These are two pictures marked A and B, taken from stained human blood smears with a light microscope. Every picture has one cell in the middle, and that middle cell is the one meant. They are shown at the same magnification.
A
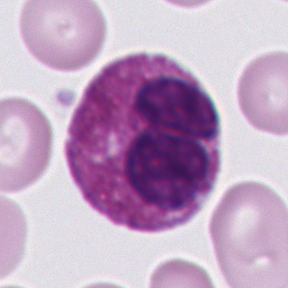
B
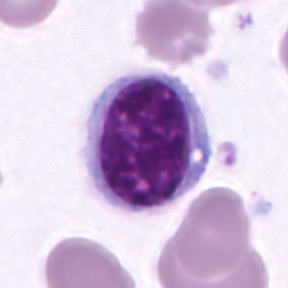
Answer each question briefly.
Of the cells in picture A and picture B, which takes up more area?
A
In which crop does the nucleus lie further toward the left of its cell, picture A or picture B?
B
